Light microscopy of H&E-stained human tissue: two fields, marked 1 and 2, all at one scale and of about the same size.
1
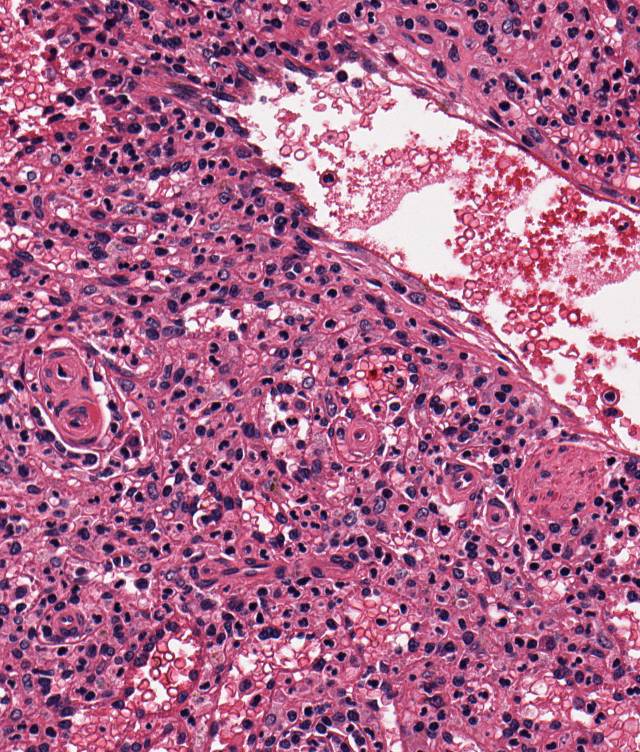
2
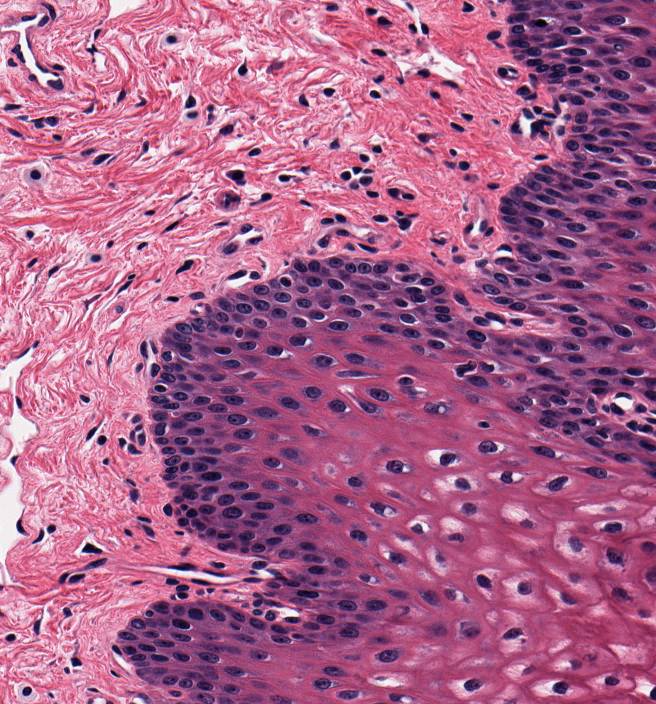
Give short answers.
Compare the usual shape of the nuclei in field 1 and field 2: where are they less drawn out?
1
